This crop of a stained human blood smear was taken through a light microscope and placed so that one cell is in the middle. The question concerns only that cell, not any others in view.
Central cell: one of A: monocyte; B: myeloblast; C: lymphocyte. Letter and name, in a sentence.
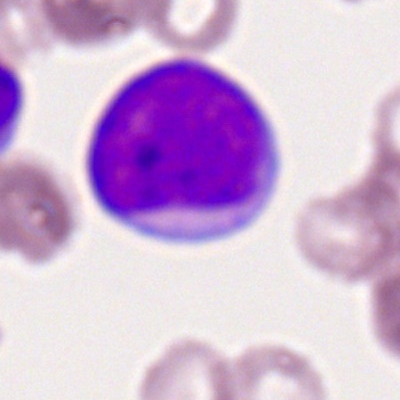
In this crop the middle cell is a myeloblast, so option B is the correct answer.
